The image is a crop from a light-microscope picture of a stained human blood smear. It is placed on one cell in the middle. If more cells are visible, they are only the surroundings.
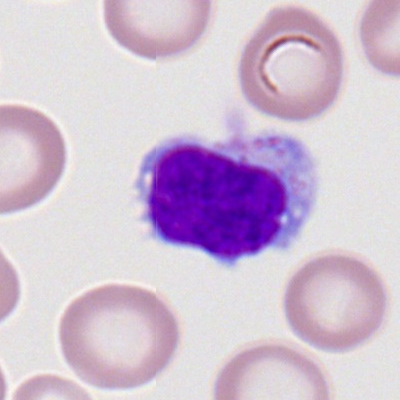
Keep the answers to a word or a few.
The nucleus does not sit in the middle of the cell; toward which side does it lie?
lower left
